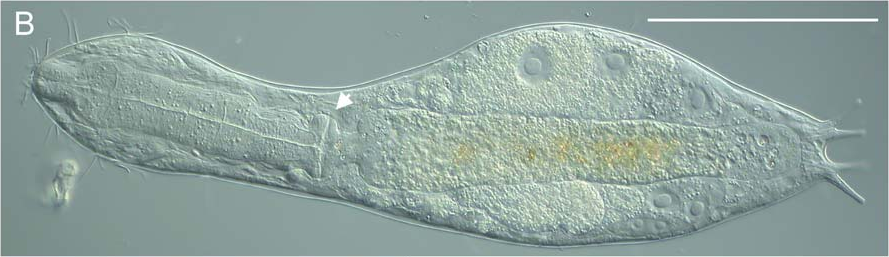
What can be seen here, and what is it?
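The whole elongate body of a small worm-like animal is seen, with a slender head region on the left and a wider trunk ending in a forked tail bearing short tubes on the right. A straight tubular foregut runs back from the head end to the point where the body widens. Behind it a central gut with yellowish-brown granular content runs along the trunk, flanked by granular tissue containing several large rounded cells with clear nuclei. Fine bristles project from the head end and body outline.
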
